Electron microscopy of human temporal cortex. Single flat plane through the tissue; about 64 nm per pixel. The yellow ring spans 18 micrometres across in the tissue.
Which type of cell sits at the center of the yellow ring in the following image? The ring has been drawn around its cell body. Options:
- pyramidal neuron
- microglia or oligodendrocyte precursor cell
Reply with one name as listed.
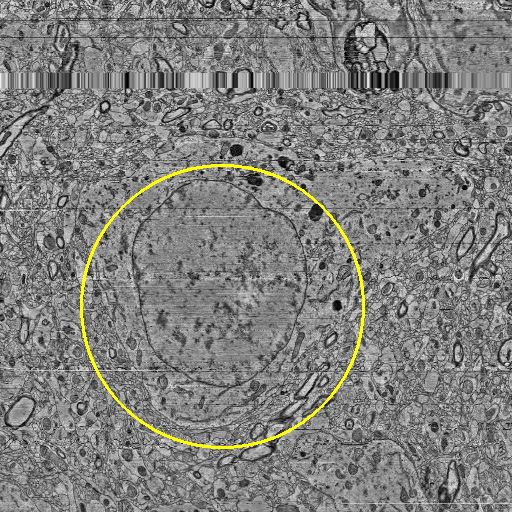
pyramidal neuron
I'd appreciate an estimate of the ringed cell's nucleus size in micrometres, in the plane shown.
Approximately 14 by 11 micrometers in this plane.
